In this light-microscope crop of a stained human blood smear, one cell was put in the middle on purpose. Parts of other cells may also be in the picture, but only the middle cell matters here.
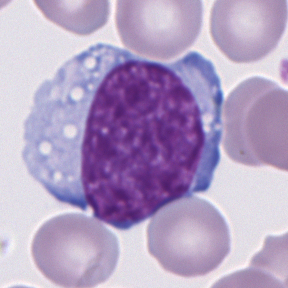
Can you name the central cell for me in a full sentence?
What the crop centres on is a myeloblast.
